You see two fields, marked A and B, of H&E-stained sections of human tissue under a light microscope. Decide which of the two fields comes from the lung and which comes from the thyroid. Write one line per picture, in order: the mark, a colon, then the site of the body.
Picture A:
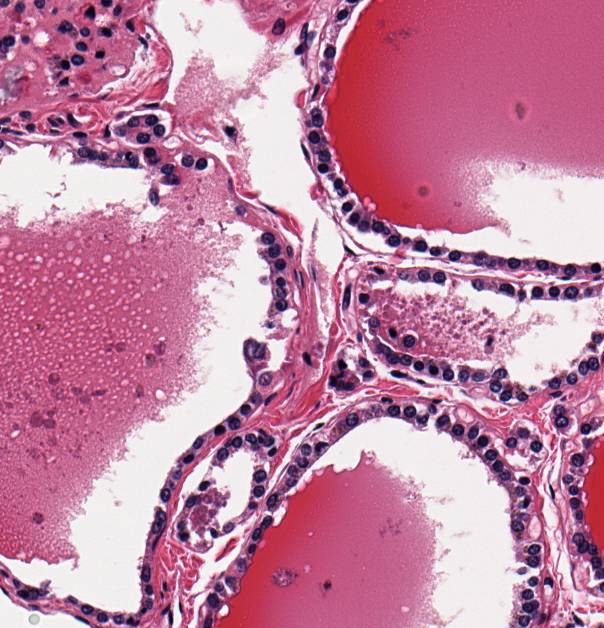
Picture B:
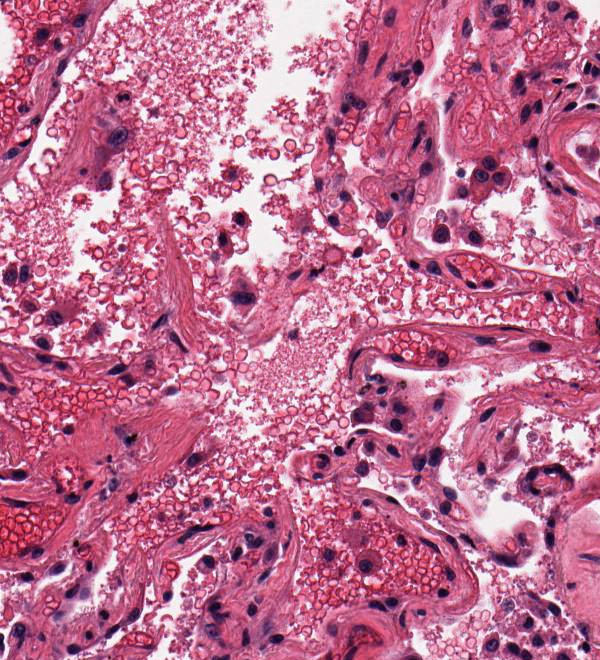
A: thyroid
B: lung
